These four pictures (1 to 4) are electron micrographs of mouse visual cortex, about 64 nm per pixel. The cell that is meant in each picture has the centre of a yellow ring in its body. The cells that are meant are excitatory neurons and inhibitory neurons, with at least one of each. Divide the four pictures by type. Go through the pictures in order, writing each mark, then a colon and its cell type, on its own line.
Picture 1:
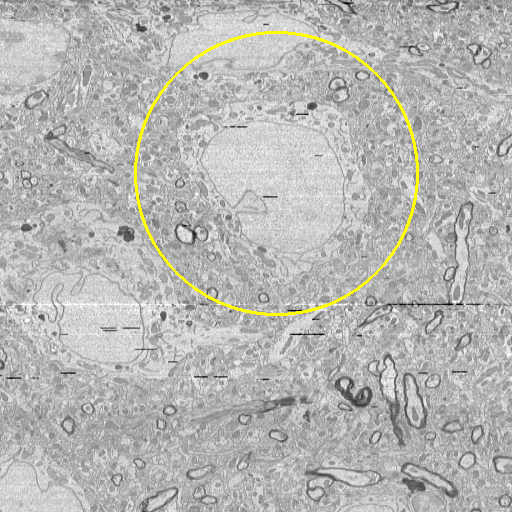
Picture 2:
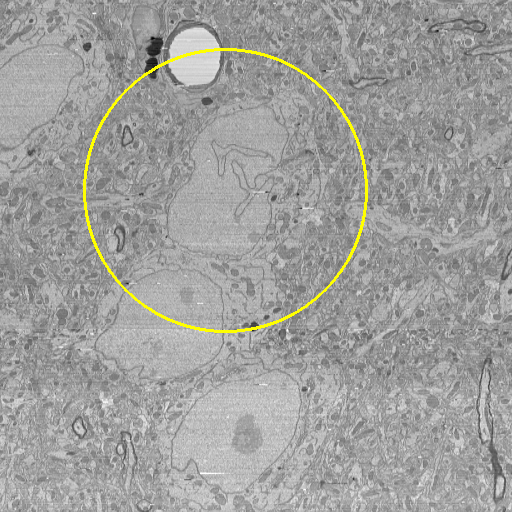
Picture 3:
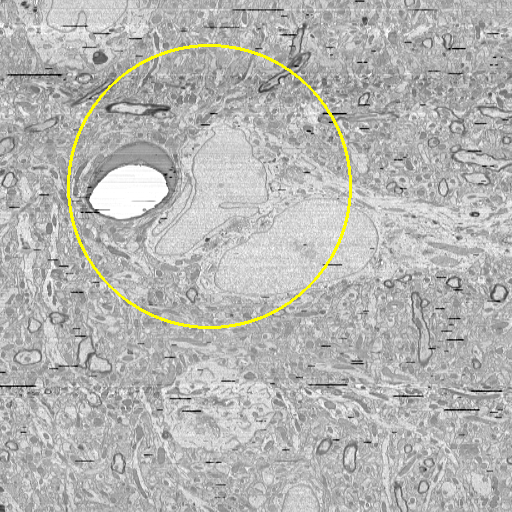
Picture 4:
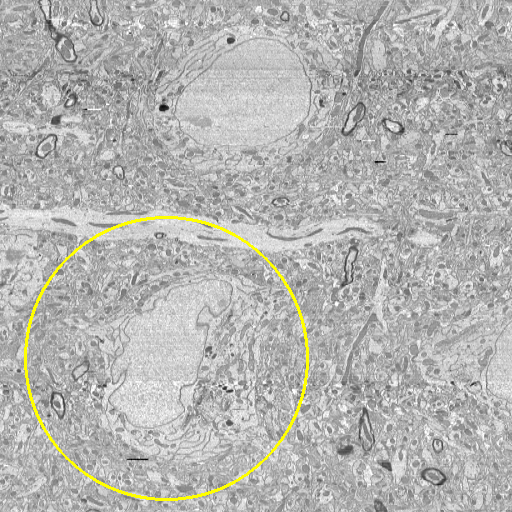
1: excitatory neuron
2: inhibitory neuron
3: inhibitory neuron
4: inhibitory neuron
